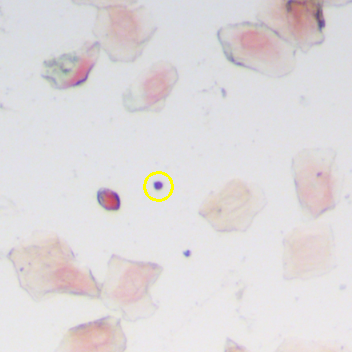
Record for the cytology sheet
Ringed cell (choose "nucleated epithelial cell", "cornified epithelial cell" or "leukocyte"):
leukocyte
